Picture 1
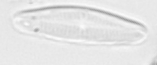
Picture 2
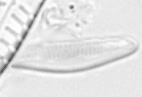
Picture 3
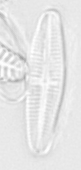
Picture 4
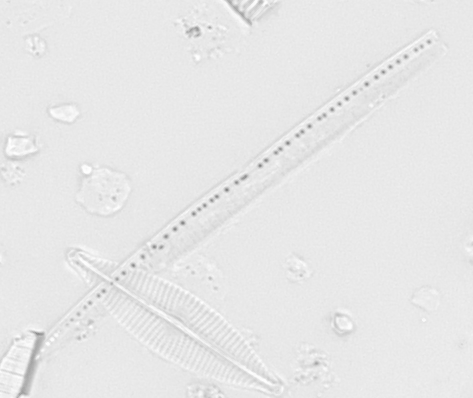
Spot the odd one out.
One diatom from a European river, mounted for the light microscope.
Picture 4 (Nitzschia among Achnanthidium).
